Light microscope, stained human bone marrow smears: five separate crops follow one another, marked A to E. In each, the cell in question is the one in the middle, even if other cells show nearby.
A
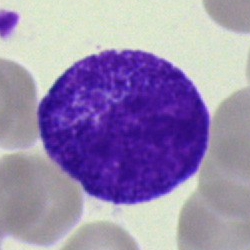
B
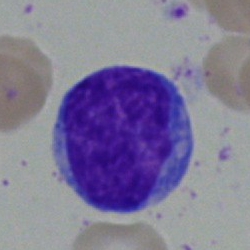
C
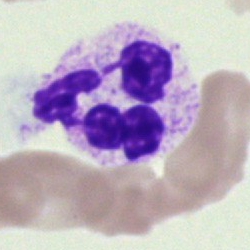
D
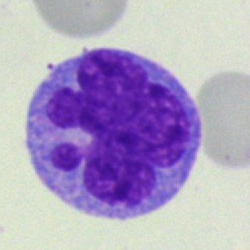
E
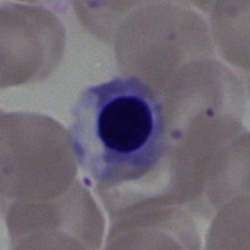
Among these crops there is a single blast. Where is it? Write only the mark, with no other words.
B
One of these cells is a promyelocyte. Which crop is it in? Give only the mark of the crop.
A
